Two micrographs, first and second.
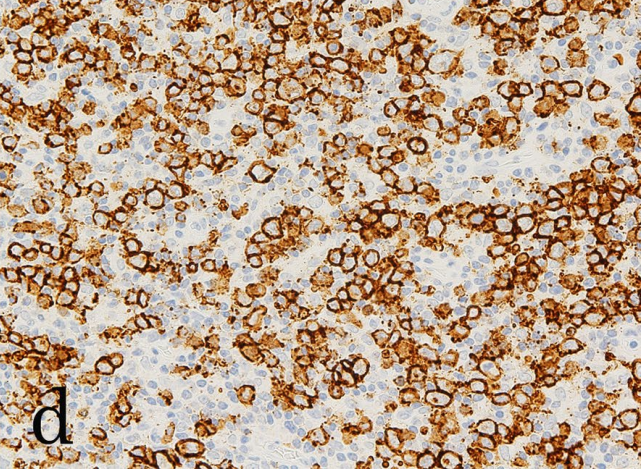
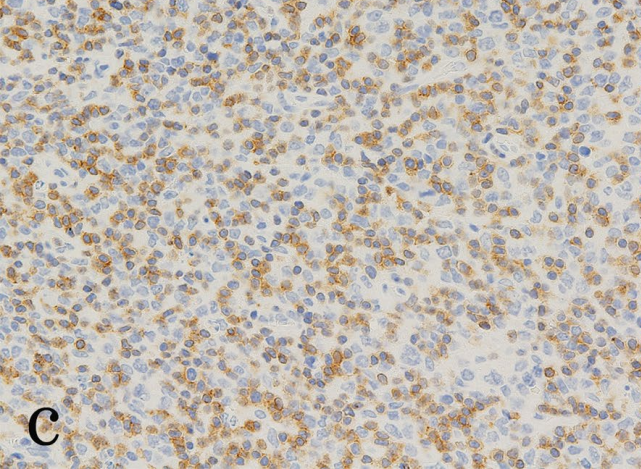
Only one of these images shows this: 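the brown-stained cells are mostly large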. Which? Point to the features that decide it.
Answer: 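The first image. First image: large cells with thick brown membranes form clusters. Second image: brown stain rims mostly small round cells while larger nuclei stay blue.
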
